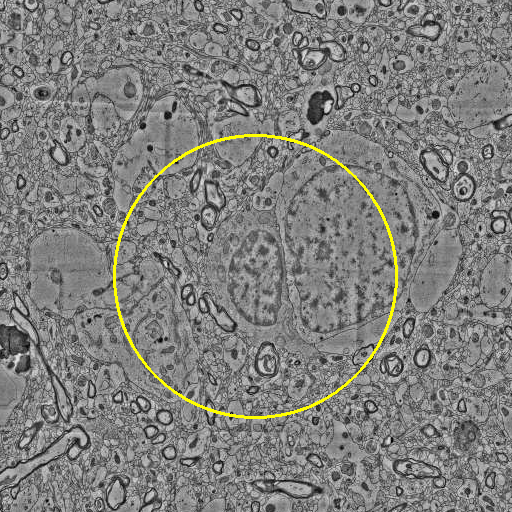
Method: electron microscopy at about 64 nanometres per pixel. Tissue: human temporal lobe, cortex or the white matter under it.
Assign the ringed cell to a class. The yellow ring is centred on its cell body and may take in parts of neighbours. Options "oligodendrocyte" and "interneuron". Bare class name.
oligodendrocyte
